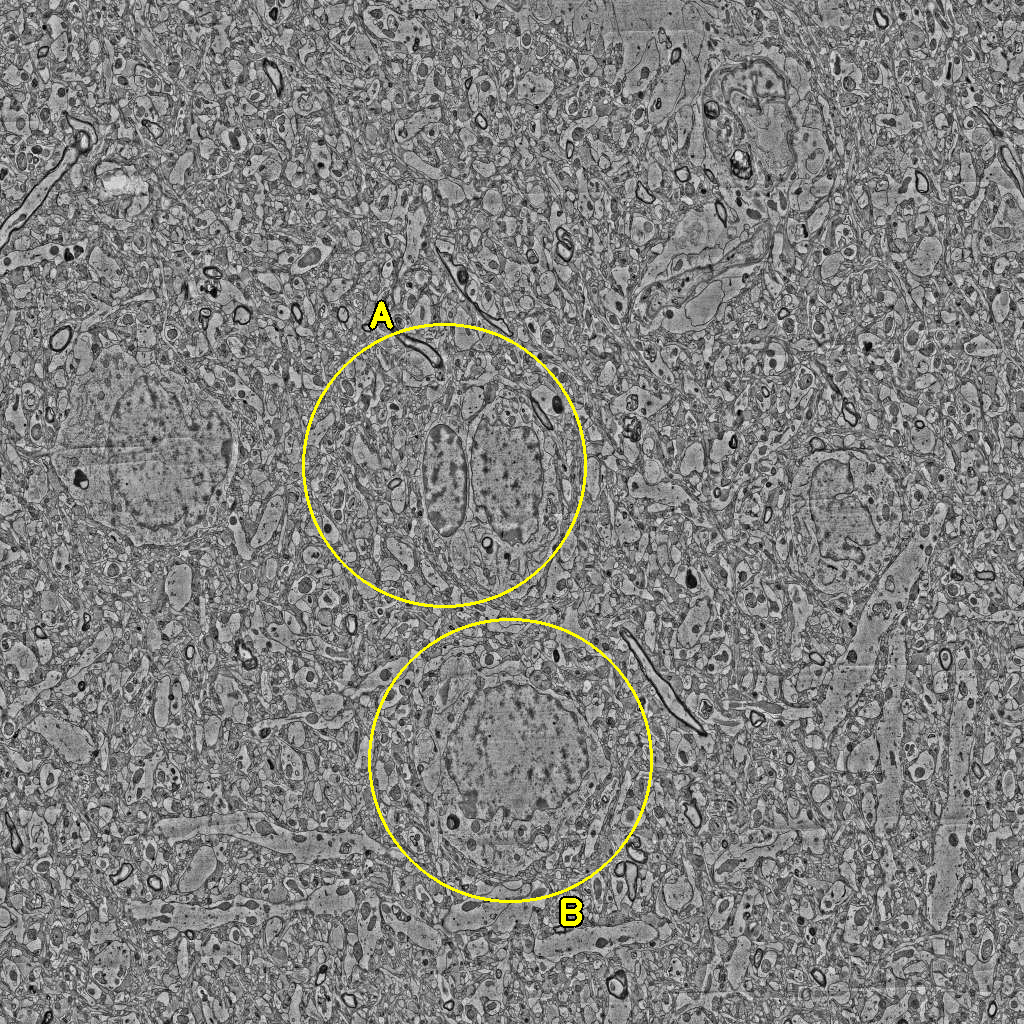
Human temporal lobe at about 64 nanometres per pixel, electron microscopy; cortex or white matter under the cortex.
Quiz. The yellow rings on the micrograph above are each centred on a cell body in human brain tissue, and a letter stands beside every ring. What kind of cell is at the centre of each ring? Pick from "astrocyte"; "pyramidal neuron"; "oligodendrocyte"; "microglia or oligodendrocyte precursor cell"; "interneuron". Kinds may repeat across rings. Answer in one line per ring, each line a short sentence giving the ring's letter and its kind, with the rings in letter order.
The ring labelled A has a microglial cell or oligodendrocyte precursor cell at its centre.
The ring labelled B has an interneuron at its centre.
